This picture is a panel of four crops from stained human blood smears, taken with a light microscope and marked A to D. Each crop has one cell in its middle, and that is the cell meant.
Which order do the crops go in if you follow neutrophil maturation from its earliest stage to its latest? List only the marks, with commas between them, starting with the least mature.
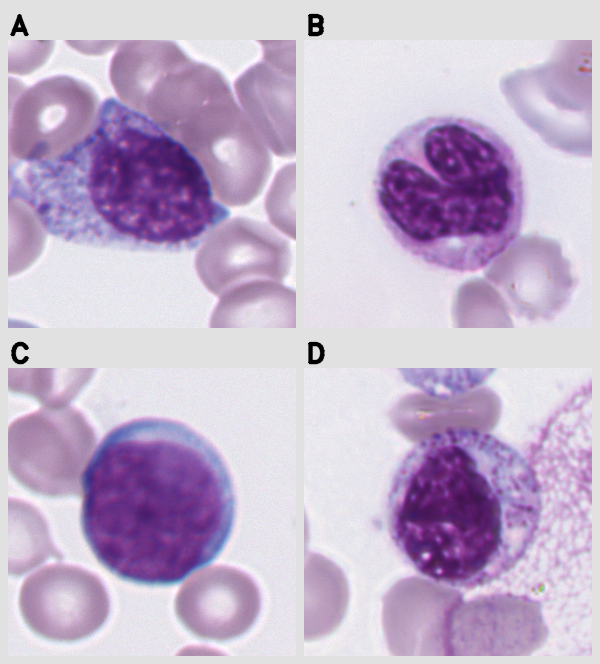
C, A, D, B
